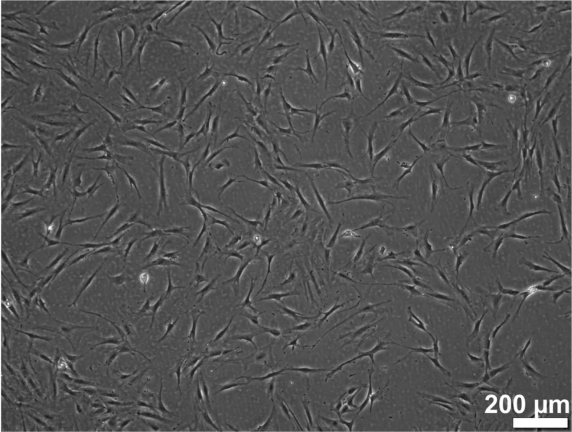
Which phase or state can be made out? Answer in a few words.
elongated fibroblast-like morphology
